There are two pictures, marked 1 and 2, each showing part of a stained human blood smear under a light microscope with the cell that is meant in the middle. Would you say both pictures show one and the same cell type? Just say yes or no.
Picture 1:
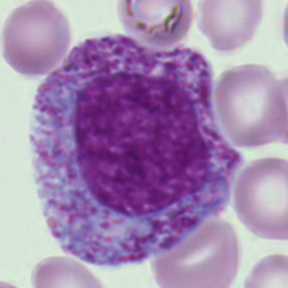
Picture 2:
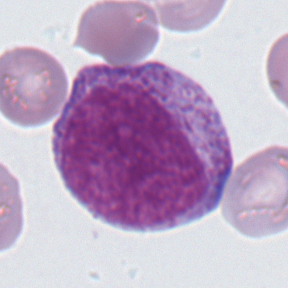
yes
